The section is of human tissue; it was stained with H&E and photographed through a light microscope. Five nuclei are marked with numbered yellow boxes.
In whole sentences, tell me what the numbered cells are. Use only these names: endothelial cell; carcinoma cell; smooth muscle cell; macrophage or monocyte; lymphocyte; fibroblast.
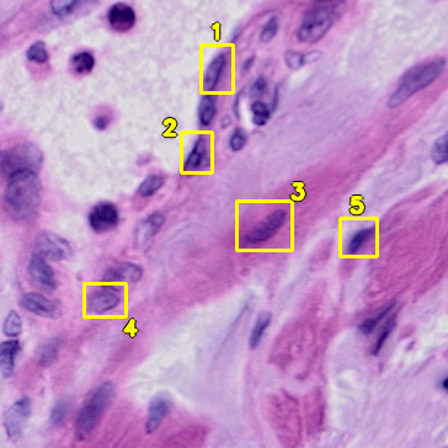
Cell 1 is an endothelial cell, cell 2 is an endothelial cell, cell 3 is a smooth muscle cell, cell 4 is an endothelial cell and cell 5 is a smooth muscle cell.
